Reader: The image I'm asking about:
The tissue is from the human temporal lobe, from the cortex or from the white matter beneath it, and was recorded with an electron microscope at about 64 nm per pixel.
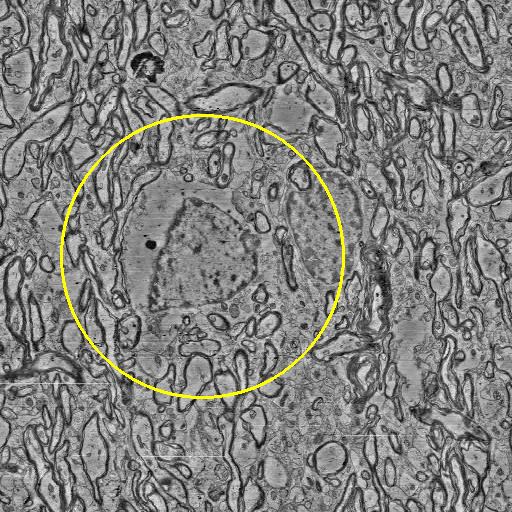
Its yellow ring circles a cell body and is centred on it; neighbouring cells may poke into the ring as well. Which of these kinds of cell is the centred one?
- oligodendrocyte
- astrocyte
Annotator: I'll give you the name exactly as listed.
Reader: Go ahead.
astrocyte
